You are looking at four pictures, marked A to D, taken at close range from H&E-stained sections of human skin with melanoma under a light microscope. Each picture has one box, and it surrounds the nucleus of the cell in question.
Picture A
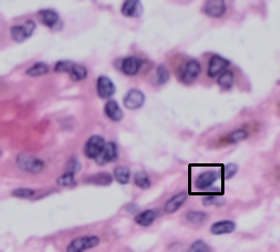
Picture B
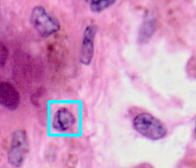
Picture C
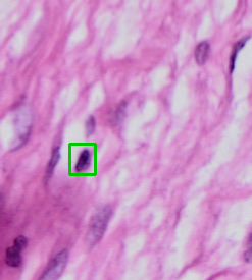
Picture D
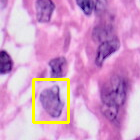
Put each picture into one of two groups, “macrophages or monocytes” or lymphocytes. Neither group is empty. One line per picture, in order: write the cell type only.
lymphocyte
lymphocyte
lymphocyte
macrophage or monocyte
